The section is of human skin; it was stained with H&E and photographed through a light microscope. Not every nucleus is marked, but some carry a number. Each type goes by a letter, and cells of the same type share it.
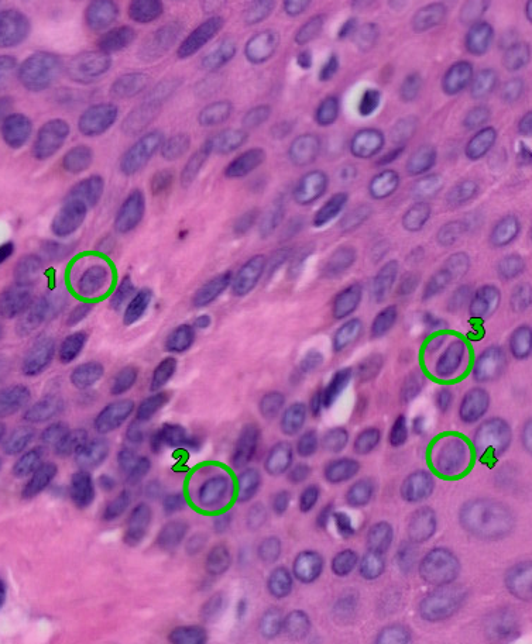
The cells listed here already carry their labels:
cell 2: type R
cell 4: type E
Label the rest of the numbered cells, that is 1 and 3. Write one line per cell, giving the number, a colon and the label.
1: type R
3: type R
